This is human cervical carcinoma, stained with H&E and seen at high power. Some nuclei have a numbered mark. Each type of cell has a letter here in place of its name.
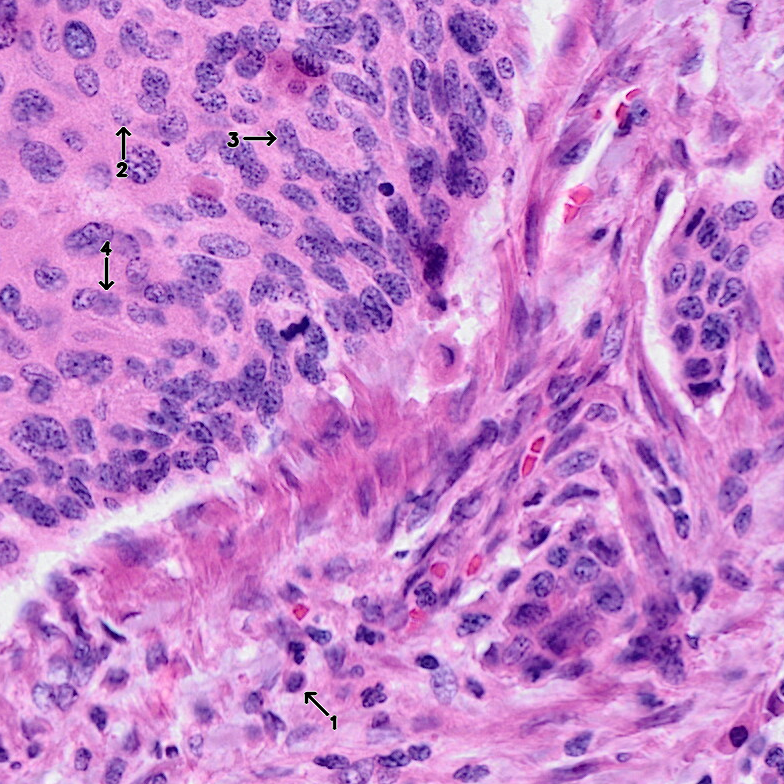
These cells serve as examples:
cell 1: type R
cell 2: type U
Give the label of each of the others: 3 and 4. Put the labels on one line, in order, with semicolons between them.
type U; type U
